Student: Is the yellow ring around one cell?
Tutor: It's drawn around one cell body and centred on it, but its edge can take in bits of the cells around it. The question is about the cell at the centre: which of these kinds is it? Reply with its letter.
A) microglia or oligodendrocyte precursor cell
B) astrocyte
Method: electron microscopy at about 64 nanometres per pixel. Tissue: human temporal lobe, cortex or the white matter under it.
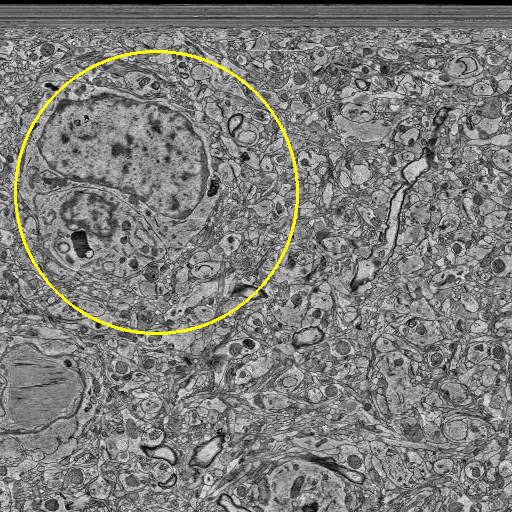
A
